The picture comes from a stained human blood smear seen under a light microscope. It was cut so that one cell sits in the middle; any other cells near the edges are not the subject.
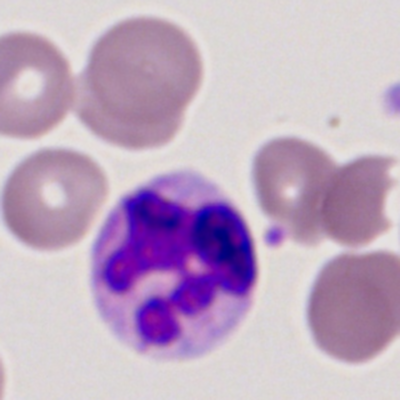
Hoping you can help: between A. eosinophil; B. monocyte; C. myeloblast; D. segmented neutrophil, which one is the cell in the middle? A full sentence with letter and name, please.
The best answer is option D, since the cell in the middle is a segmented neutrophil.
